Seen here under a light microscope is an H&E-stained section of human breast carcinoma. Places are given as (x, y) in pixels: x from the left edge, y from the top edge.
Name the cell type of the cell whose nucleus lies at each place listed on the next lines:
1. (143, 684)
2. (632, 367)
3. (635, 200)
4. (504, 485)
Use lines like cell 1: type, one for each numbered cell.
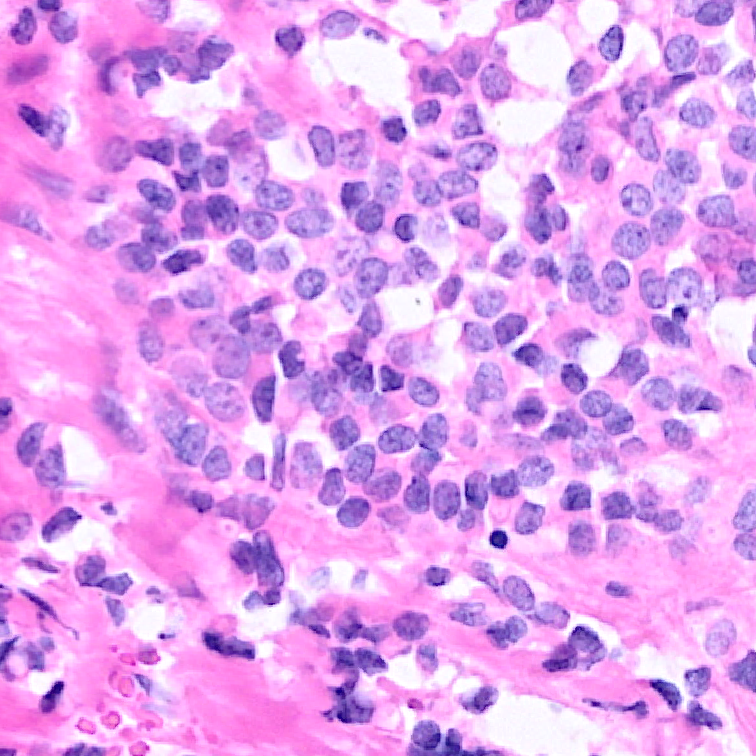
cell 1: endothelial cell
cell 2: carcinoma cell
cell 3: carcinoma cell
cell 4: carcinoma cell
